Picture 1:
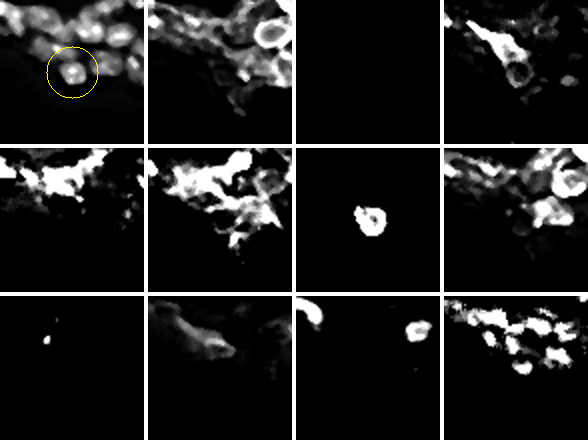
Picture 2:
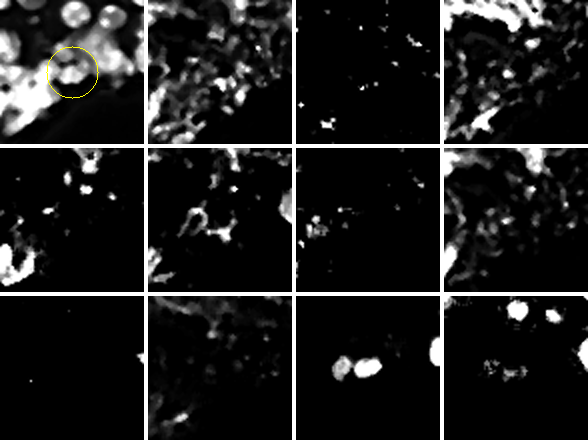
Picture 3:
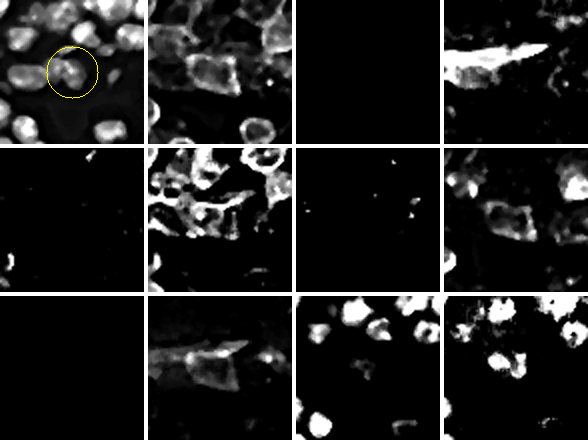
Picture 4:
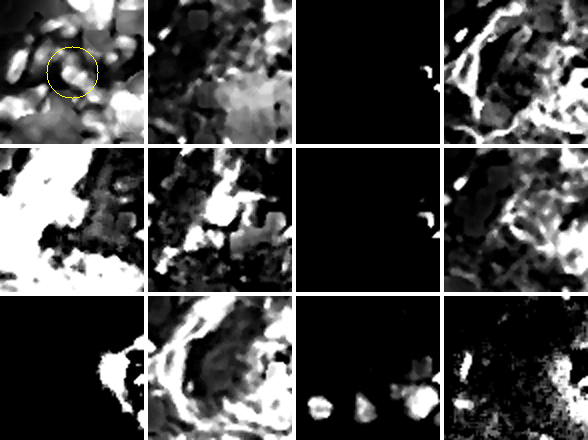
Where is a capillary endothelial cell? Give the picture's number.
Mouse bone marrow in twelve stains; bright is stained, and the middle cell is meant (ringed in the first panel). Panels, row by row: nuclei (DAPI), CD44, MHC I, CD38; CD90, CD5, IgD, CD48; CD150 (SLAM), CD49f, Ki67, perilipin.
3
